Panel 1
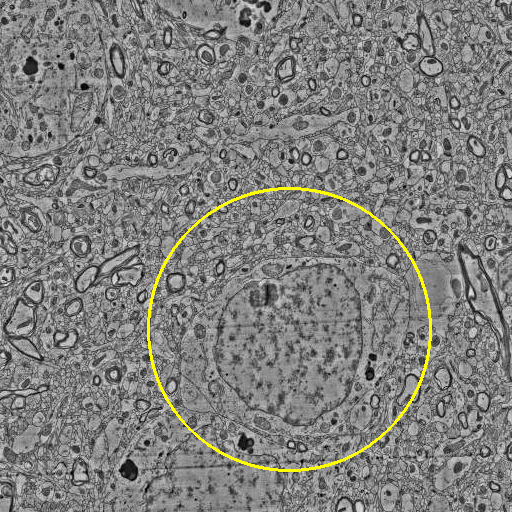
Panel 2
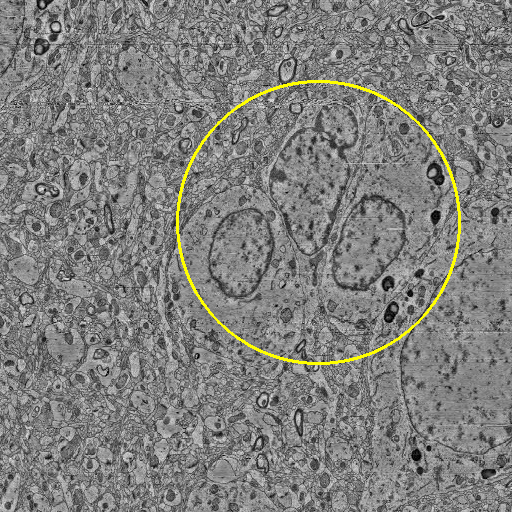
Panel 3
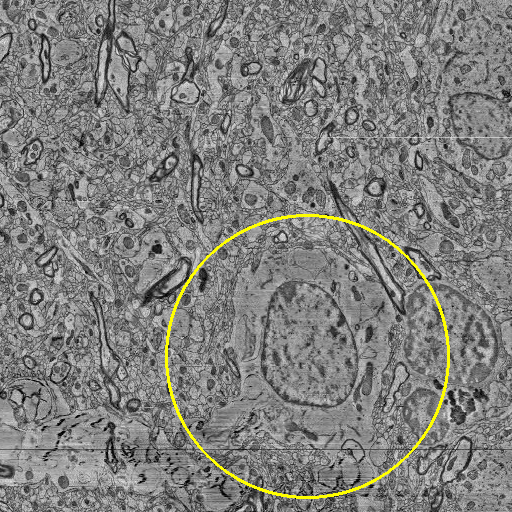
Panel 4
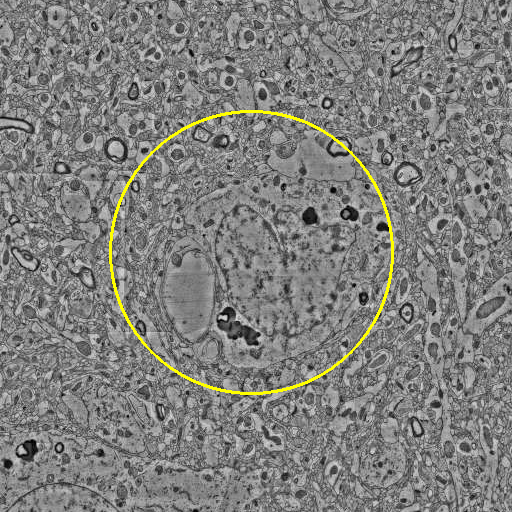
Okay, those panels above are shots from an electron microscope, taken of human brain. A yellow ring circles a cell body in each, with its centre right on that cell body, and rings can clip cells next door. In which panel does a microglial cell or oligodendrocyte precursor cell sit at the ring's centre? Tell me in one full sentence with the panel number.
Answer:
The cell you asked for sits at the ring's centre in panel 2.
